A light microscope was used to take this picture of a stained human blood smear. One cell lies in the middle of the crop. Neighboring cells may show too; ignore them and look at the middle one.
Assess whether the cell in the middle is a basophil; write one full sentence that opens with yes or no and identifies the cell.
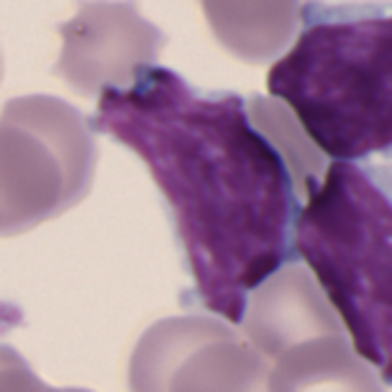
No, a lymphocyte rather than a basophil is the cell at the centre of the crop.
